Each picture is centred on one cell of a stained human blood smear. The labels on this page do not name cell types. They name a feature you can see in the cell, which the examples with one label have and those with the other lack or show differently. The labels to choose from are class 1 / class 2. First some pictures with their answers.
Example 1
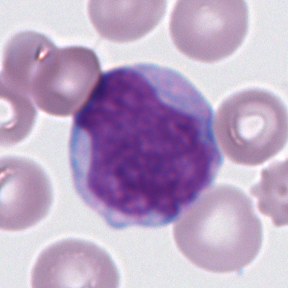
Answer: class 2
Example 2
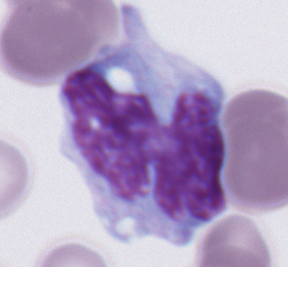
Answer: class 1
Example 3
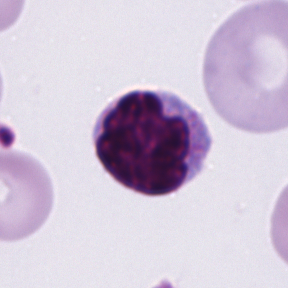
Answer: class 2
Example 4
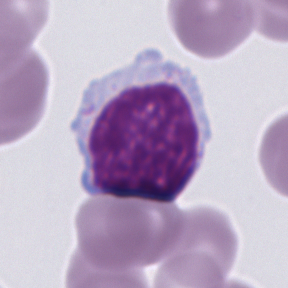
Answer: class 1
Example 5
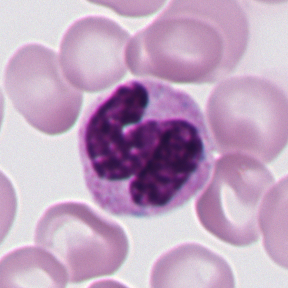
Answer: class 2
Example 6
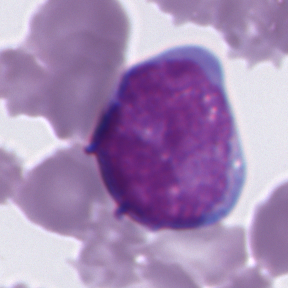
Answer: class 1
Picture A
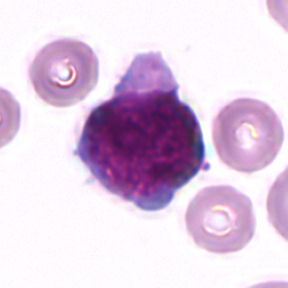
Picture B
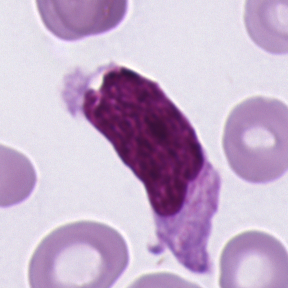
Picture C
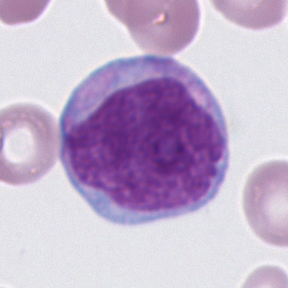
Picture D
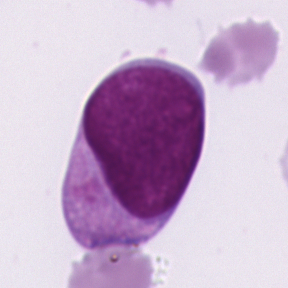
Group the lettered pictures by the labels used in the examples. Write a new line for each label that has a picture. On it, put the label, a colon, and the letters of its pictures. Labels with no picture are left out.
class 1: A, B
class 2: C, D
